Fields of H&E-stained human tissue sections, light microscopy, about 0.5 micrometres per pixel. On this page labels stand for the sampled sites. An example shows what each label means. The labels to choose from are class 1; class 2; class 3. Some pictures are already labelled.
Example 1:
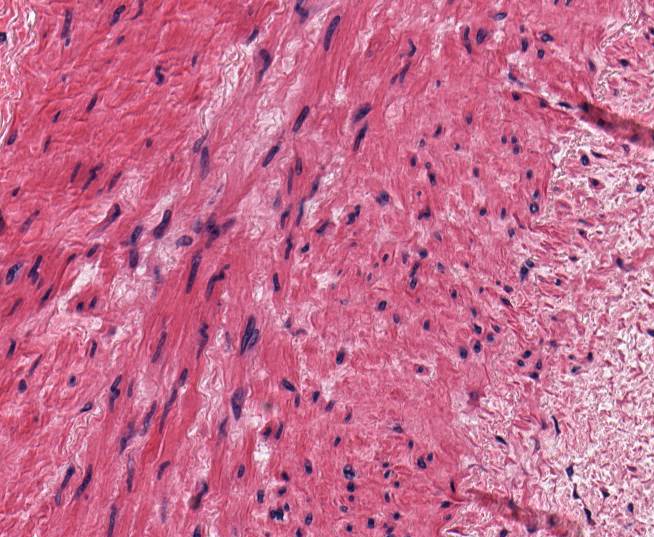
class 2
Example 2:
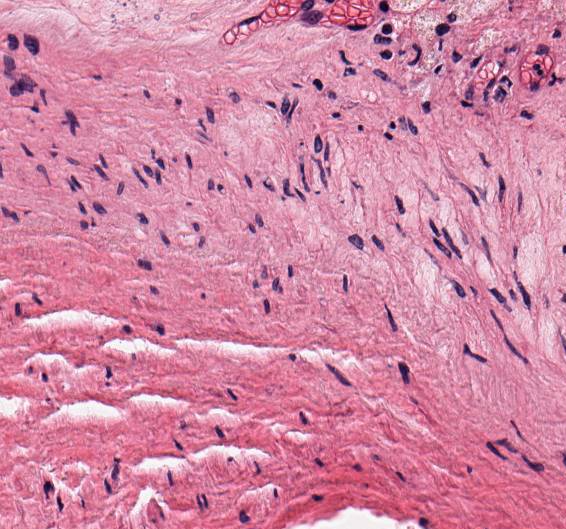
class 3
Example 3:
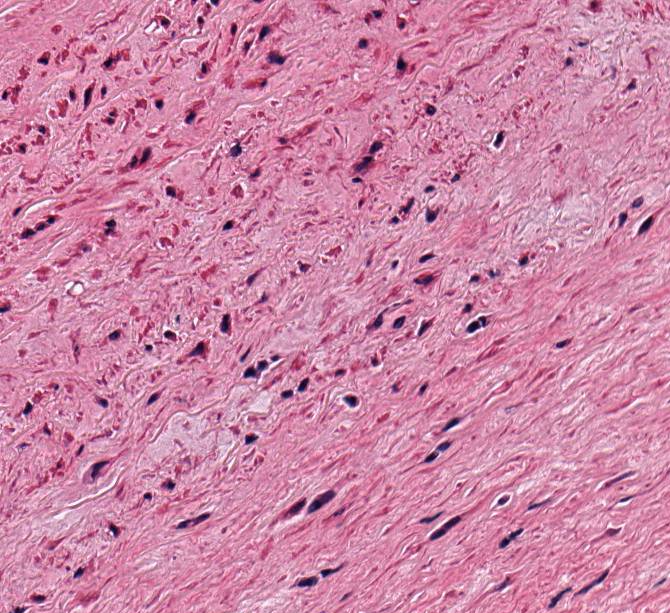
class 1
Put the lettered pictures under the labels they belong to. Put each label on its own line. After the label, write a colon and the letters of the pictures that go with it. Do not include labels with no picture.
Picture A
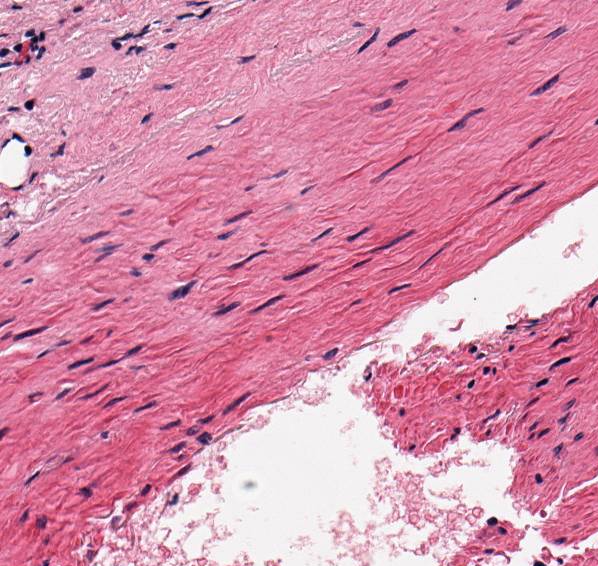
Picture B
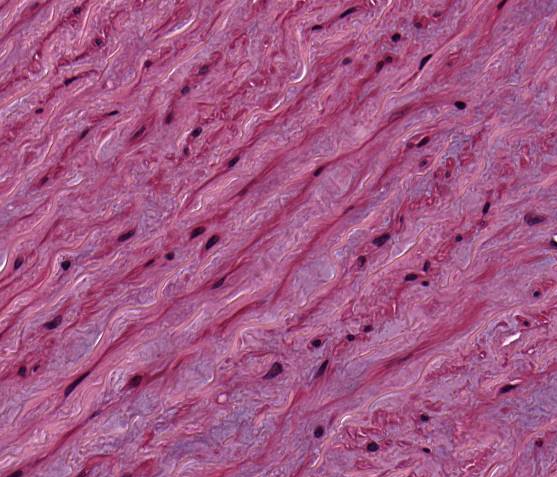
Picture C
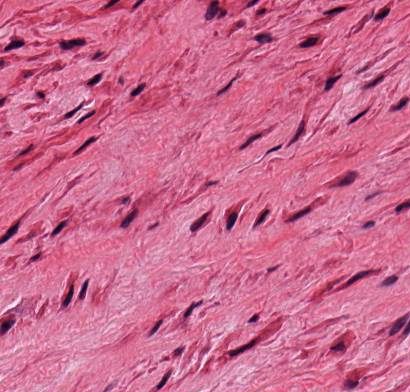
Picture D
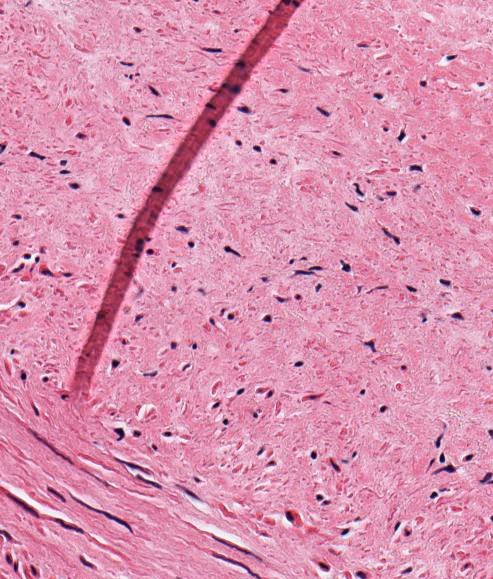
class 1: B
class 2: A, C, D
